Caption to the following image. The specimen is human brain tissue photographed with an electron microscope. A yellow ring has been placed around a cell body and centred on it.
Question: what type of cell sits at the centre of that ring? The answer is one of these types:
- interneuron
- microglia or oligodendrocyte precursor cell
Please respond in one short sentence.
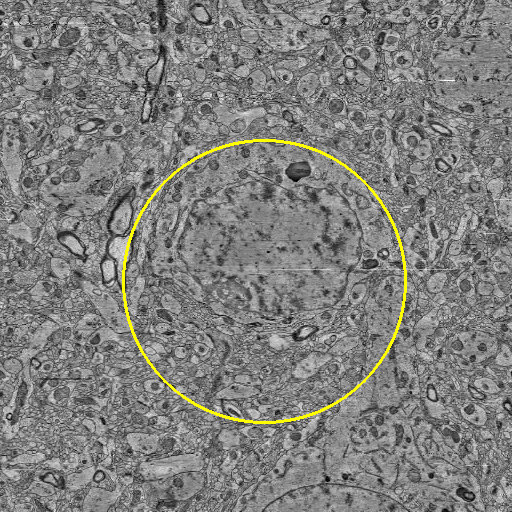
The ring surrounds the cell body of an interneuron.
